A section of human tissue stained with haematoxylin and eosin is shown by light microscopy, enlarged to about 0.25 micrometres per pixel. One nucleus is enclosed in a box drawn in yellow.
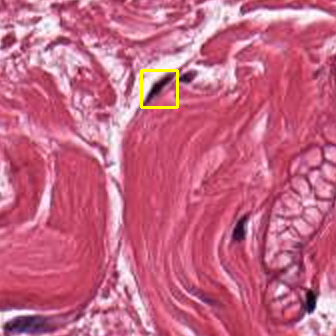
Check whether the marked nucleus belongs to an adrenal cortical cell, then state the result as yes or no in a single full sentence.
No, the marked nucleus sits in a supporting cell; an adrenal cortical cell does not contain it.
